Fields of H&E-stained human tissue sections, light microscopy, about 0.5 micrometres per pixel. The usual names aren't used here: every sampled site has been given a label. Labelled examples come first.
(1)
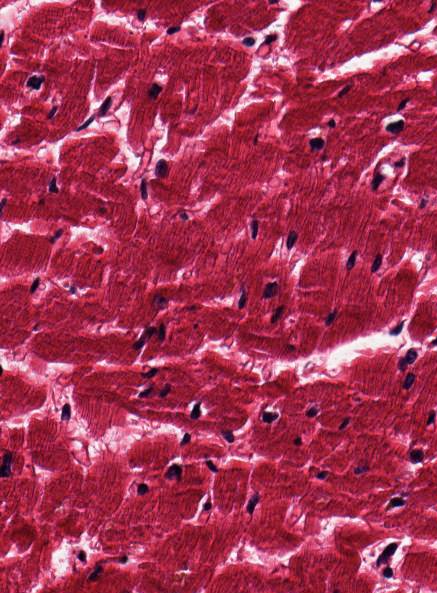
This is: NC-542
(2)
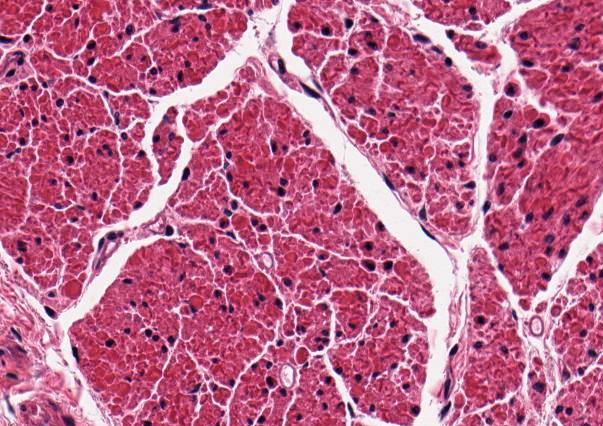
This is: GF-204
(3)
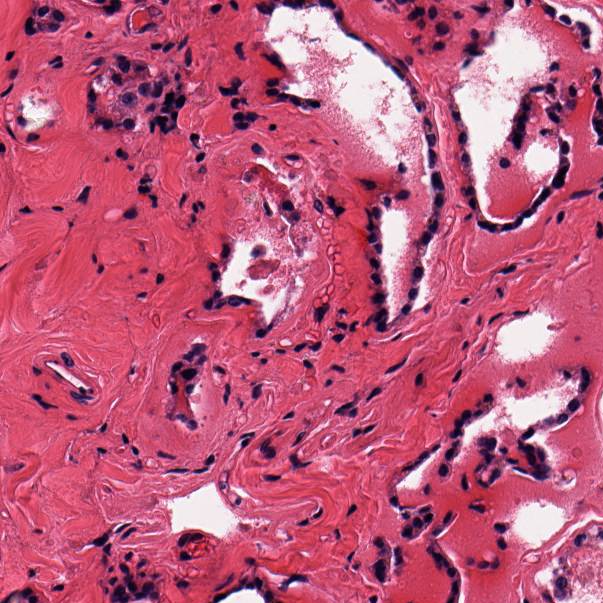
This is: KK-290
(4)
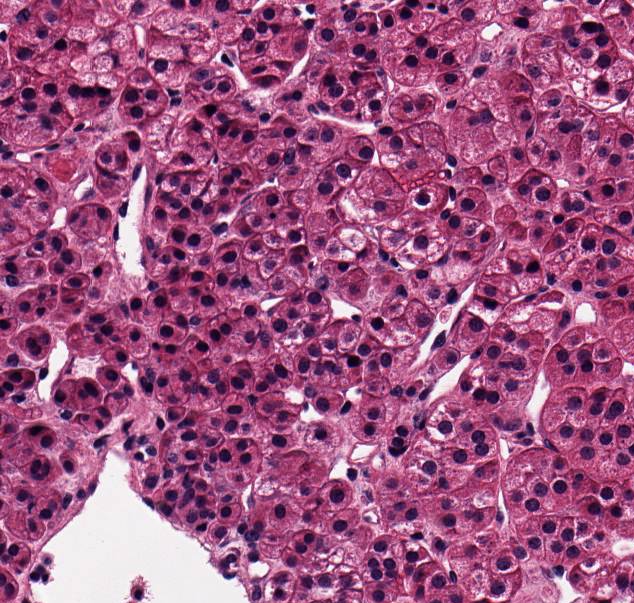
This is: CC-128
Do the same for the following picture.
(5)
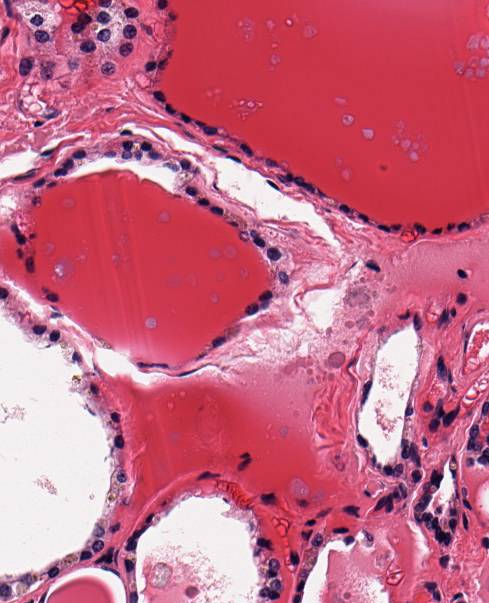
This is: KK-290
